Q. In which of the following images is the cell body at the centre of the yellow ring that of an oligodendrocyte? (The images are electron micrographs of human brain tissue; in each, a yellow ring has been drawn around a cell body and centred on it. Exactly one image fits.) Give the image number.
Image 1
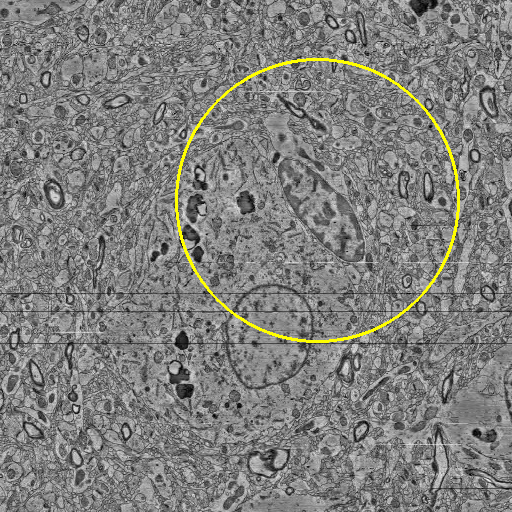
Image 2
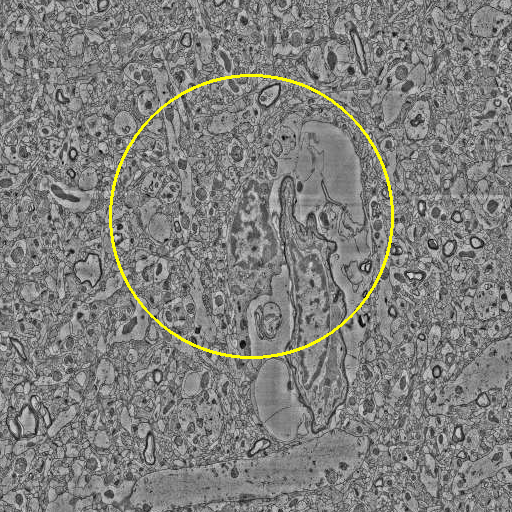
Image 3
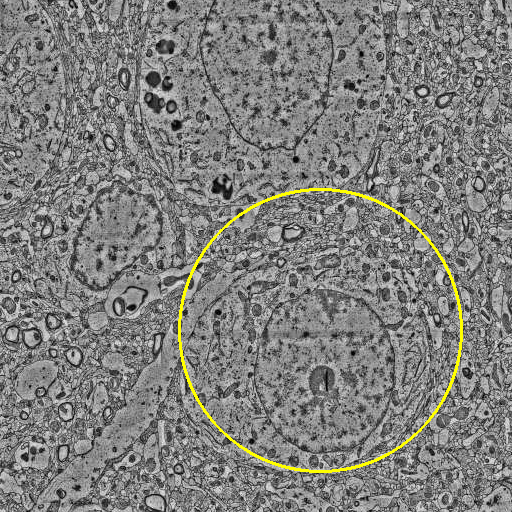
2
